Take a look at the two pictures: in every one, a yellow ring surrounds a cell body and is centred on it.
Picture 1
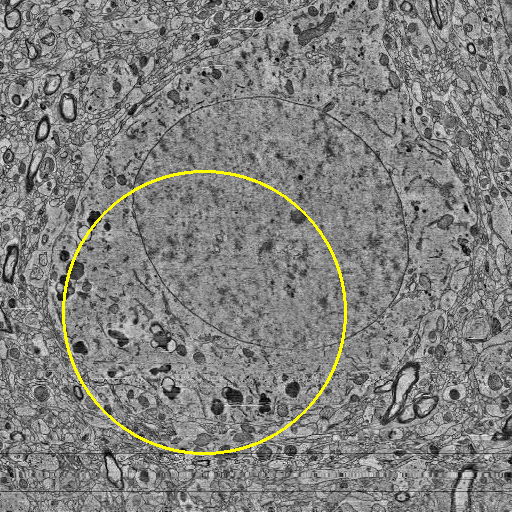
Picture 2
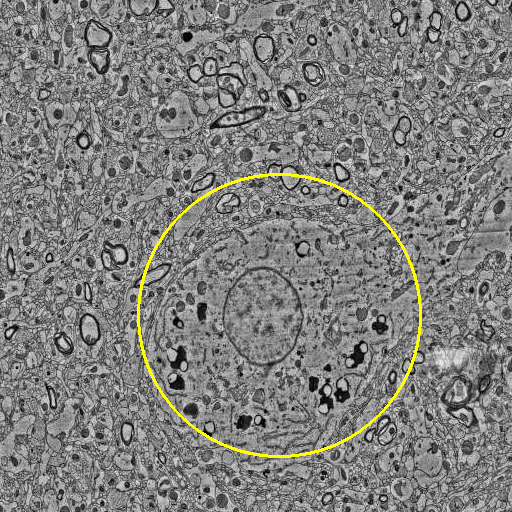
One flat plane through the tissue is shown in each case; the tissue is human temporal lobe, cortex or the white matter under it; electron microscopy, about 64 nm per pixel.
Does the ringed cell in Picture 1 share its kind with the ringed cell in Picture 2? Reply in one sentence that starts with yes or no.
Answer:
Yes, the two centred cells, one per picture, are of one kind.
